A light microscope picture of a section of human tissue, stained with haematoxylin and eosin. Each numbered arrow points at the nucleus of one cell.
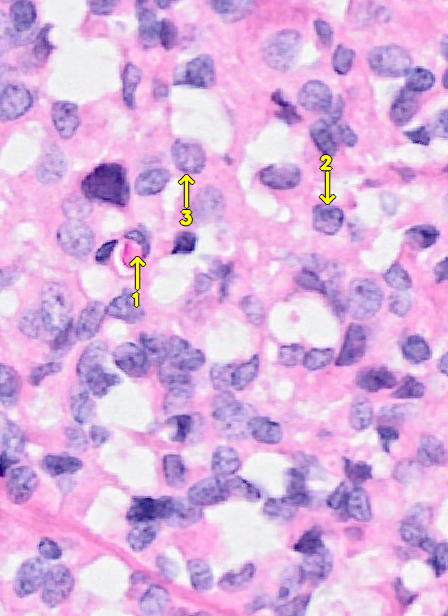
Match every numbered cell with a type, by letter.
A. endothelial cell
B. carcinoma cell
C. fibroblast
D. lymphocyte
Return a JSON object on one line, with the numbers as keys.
{"1": "A", "2": "B", "3": "B"}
